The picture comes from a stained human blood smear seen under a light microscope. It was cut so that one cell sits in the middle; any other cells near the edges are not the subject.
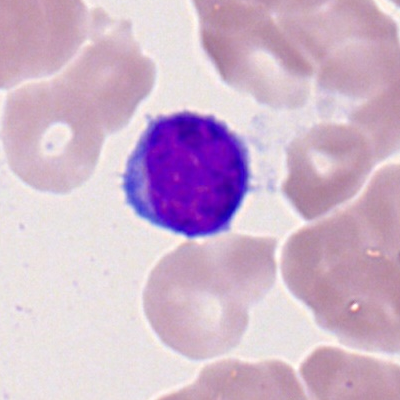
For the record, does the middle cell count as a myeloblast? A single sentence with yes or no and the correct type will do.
No, rather than being a myeloblast, the central cell is a lymphocyte.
